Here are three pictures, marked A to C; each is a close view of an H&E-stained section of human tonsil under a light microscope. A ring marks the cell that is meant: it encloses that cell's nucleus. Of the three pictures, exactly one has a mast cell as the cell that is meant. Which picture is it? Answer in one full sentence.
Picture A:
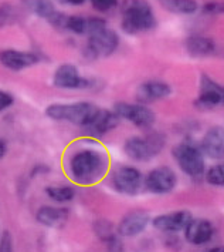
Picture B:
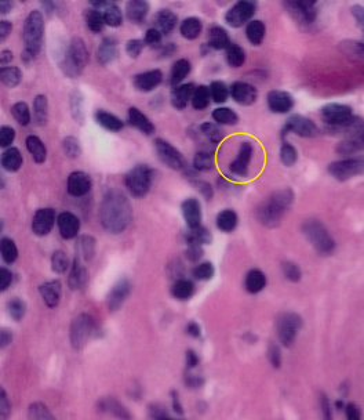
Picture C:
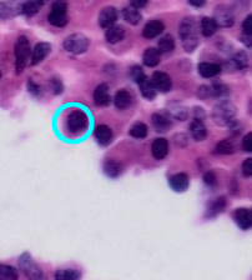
The mast cell is the one in picture B.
